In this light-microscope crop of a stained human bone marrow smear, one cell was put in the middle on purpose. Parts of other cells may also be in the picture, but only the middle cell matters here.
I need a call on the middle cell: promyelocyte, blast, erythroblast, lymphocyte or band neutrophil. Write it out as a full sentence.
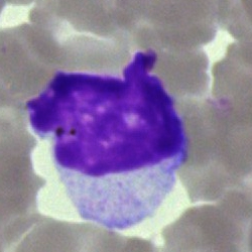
The cell marked by its central position in the crop is a blast.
